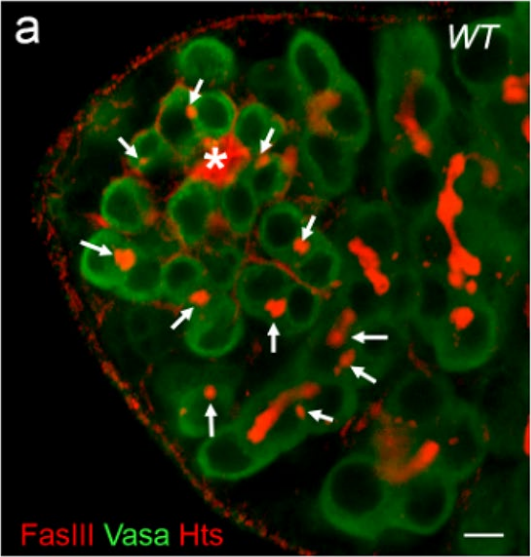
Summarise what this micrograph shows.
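The apical tip of a testis is shown, with green-outlined germ cells packed around a small central red cluster of somatic cells. The germ cells nearest the cluster form a rosette, each a rounded cell with green cytoplasm and a darker central nucleus. Many of these early germ cells contain a single small round red dot. Further away from the tip, the red structures become elongated and branched, running between groups of interconnected germ cells. A thin red-rimmed sheath outlines the curved edge of the testis.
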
